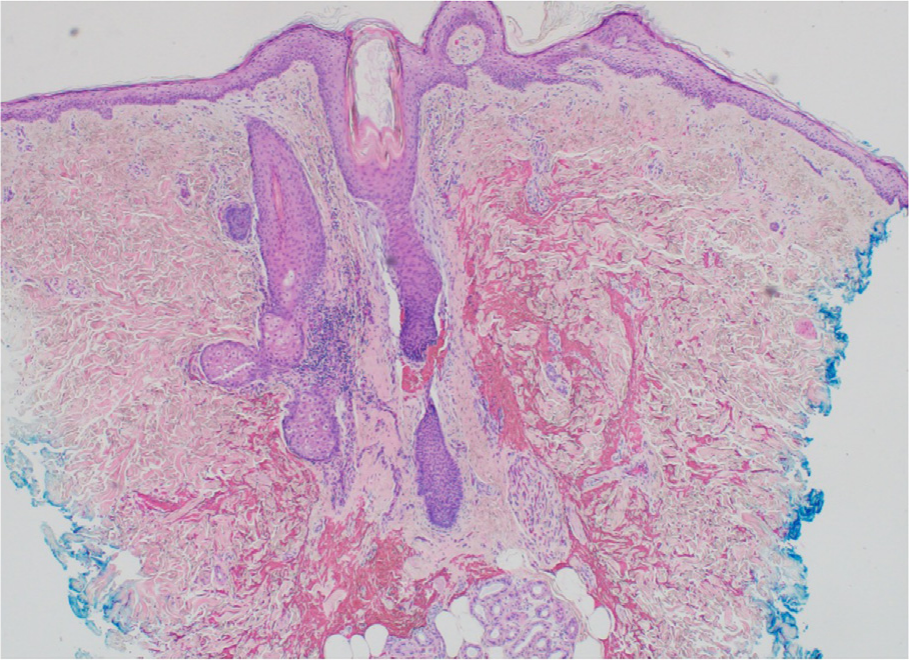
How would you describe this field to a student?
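Low-power view of skin, with a thin purple epidermis across the top and pink dermis below. Near the centre, two hair follicles run down as elongated purple epithelial columns. One opens at the surface as a widened funnel filled with pink, layered keratin. Small rounded epithelial lobules bud from the left follicle. Beside it lies a cluster of small, dark, round nuclei, a patch of inflammation around the follicle. The stroma around the follicles is pale, loose and streaky. Bright red patches of extravasated blood lie near the follicles and in the deeper dermis. At the base are clear round fat cells and a group of small glandular tubules.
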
